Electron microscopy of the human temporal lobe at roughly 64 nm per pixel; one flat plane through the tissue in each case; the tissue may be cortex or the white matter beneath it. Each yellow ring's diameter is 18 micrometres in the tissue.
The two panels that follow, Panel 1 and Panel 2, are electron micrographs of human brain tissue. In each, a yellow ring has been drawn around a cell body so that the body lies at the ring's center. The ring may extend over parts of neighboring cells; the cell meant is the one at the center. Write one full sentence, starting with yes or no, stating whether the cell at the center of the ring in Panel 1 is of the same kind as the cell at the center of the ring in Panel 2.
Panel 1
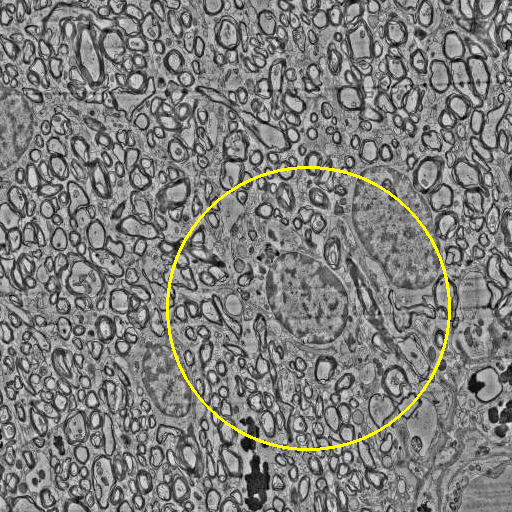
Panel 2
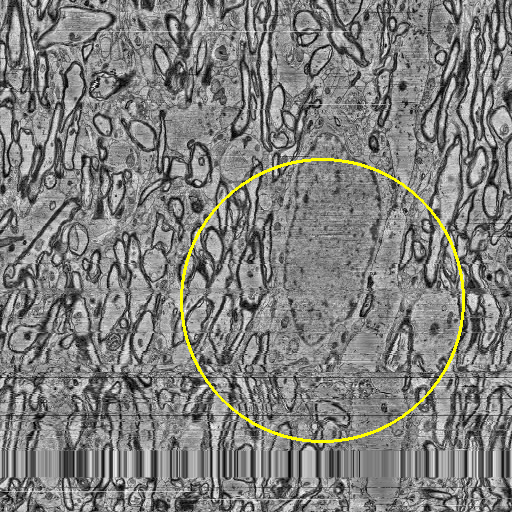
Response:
No, the cells in the two panels are of two kinds.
